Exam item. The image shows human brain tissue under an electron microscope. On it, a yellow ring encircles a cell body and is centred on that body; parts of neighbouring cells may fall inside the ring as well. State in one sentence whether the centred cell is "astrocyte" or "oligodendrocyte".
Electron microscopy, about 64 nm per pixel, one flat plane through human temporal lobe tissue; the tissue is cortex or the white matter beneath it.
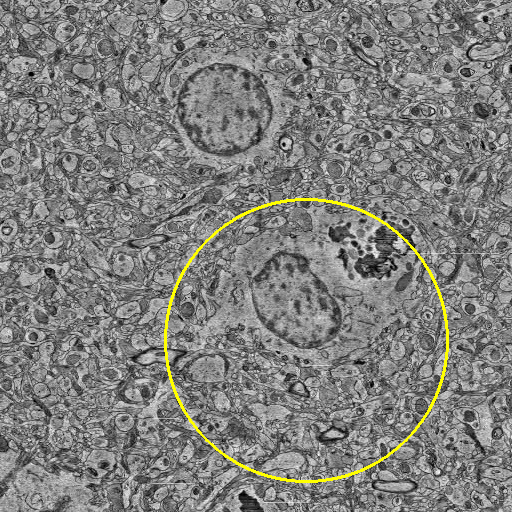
The cell body centred in the ring is an astrocyte.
